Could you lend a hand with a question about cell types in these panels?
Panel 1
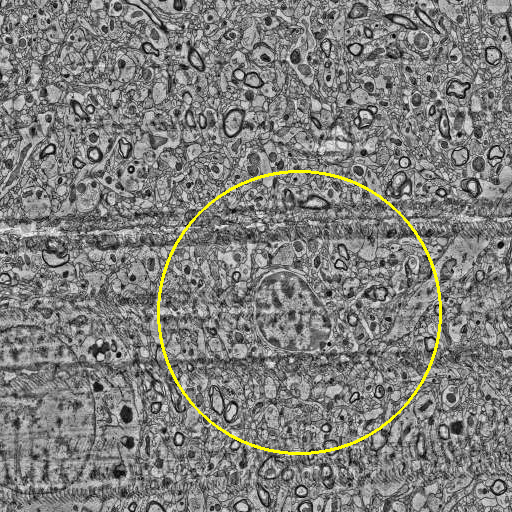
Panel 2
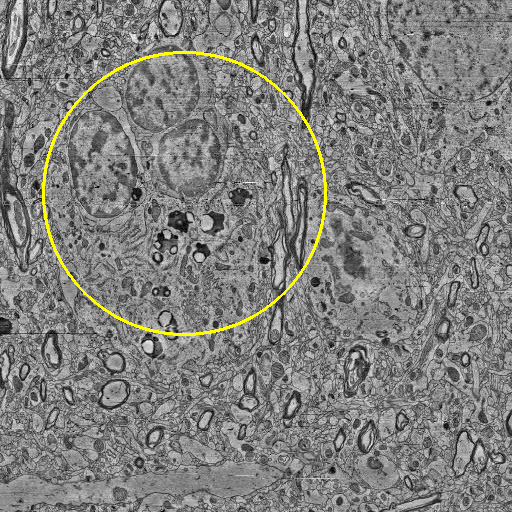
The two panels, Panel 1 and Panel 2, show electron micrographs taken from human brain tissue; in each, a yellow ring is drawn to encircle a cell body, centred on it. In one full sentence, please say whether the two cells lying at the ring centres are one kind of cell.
No, the cells at the ring centres in the two panels are two kinds of cell.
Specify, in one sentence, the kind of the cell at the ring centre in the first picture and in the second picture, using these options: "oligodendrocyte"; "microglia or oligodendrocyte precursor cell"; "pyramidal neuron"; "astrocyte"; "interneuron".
So the first is a microglial cell or oligodendrocyte precursor cell, the second an oligodendrocyte.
